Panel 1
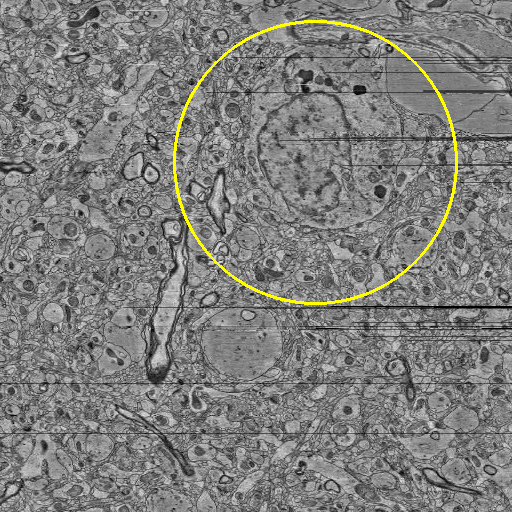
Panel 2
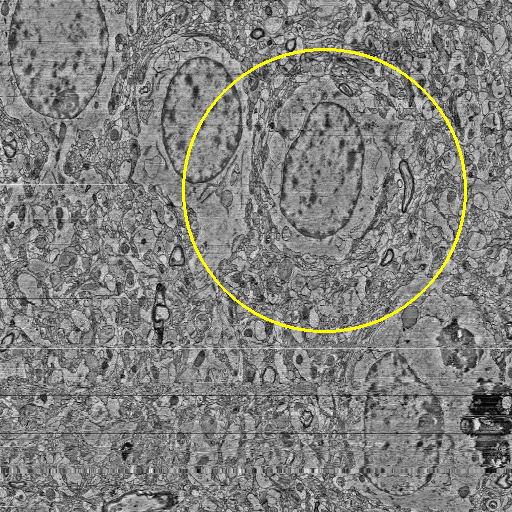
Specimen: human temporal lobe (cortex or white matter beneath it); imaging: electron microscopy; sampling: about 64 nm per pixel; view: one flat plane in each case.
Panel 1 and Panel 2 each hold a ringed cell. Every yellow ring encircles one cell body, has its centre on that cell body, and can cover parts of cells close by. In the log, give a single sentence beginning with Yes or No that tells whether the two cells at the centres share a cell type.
No, in Panel 1 and Panel 2 the centred cells are of two cell types.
